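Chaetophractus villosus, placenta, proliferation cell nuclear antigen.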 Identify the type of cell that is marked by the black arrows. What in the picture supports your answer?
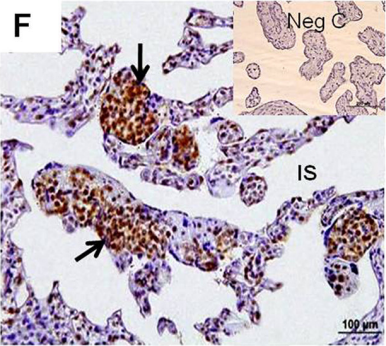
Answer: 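Compact groups of densely packed cells with brown nuclei. The groups lie within thin branching villous tissue bordering open spaces. The answer: trophoblast cell clusters.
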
